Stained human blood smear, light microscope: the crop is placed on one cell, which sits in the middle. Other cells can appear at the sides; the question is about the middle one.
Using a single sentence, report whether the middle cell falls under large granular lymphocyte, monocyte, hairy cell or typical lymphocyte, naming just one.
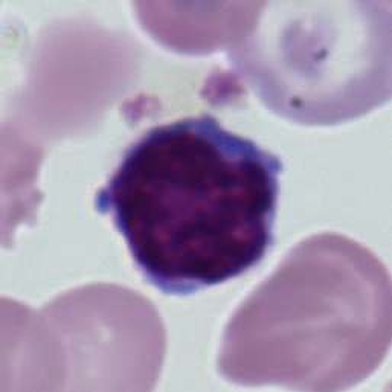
The cell at the centre of the field is a typical lymphocyte.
